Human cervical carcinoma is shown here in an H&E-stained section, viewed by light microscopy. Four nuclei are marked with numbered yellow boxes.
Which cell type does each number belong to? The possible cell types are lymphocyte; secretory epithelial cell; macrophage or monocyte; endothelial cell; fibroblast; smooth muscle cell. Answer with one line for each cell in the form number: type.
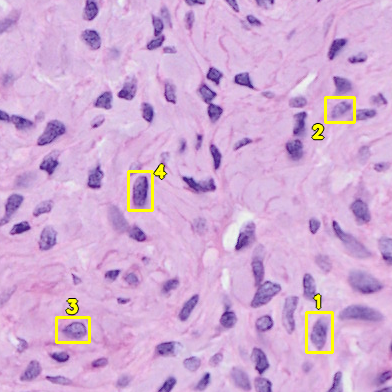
1: fibroblast
2: fibroblast
3: smooth muscle cell
4: fibroblast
